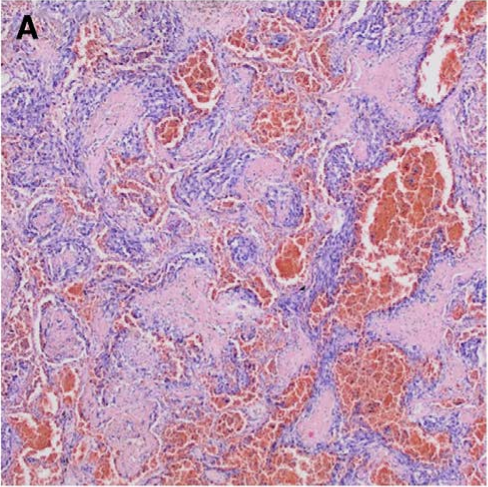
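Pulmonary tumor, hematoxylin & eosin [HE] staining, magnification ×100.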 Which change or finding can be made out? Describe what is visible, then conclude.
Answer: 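Large irregular lakes of red blood cells lie among the tumor tissue. The blood pools are separated by strands of purple cellular tissue and pink acellular material.
Conclusion: intratumoral hemorrhage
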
